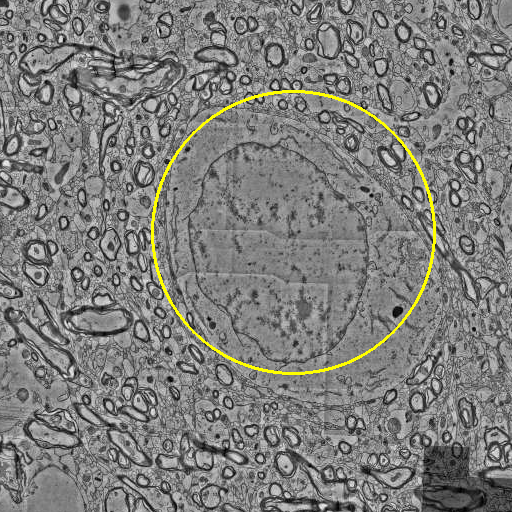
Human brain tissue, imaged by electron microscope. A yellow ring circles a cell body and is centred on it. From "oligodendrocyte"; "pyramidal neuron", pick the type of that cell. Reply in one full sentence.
The cell body at the centre of the yellow ring belongs to a pyramidal neuron.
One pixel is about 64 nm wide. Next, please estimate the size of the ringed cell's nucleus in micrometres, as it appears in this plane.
In this plane, roughly 14 by 11 micrometres.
